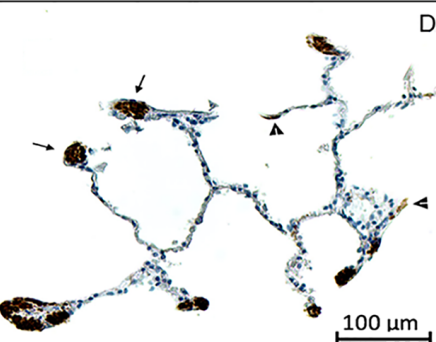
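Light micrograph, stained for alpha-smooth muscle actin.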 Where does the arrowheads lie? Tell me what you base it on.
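Alveolar walls. Arrowheads point to thin brown streaks within slender septa. The septa are one to few cells thick.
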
